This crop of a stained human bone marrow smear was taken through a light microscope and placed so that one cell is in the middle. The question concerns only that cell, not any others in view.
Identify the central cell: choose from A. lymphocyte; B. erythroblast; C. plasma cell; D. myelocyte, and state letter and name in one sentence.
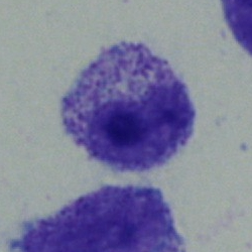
Option D gives the correct identity of the central cell, namely a myelocyte.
